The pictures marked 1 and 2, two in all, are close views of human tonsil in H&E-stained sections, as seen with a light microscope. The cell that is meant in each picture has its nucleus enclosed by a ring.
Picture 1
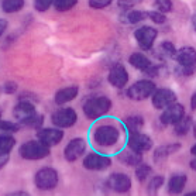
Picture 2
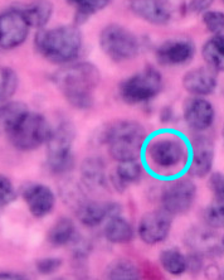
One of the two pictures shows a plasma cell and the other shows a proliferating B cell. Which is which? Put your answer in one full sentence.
In picture 1 the cell is a plasma cell; in picture 2, a proliferating B cell.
